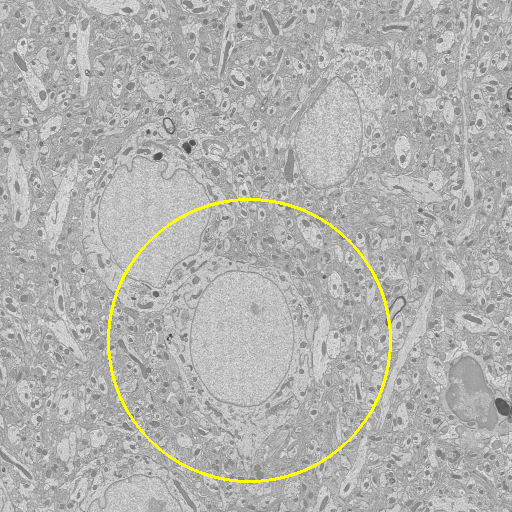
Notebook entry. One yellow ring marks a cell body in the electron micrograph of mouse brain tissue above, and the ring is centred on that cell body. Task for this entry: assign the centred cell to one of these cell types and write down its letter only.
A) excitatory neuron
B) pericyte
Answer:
A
